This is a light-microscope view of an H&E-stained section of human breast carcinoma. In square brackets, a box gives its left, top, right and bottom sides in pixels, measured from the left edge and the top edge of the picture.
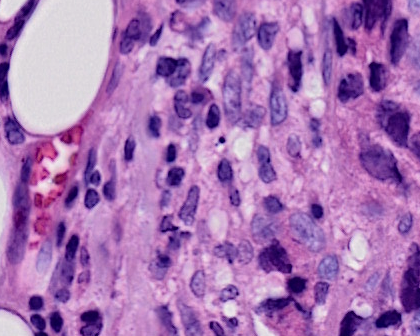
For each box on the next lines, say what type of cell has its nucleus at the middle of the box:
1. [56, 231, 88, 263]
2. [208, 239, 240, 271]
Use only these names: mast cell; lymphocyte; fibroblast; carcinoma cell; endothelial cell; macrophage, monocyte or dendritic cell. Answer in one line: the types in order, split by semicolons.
lymphocyte; macrophage, monocyte or dendritic cell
